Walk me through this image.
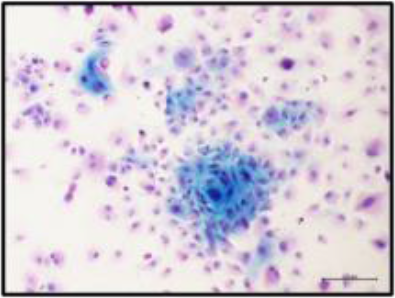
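In places the cells crowd into dense clusters, the largest of which sits in the lower middle of the field. These clusters are surrounded and overlain by sky-blue stained material, while the sparse single cells between them carry little blue.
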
